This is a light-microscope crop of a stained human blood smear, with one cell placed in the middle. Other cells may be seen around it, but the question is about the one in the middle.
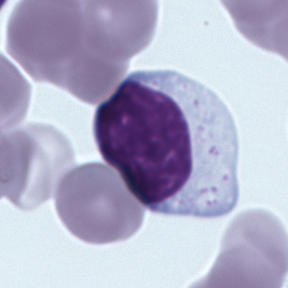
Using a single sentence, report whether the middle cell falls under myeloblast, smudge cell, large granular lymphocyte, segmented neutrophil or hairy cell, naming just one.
The cell in the exact centre of the crop is a large granular lymphocyte.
